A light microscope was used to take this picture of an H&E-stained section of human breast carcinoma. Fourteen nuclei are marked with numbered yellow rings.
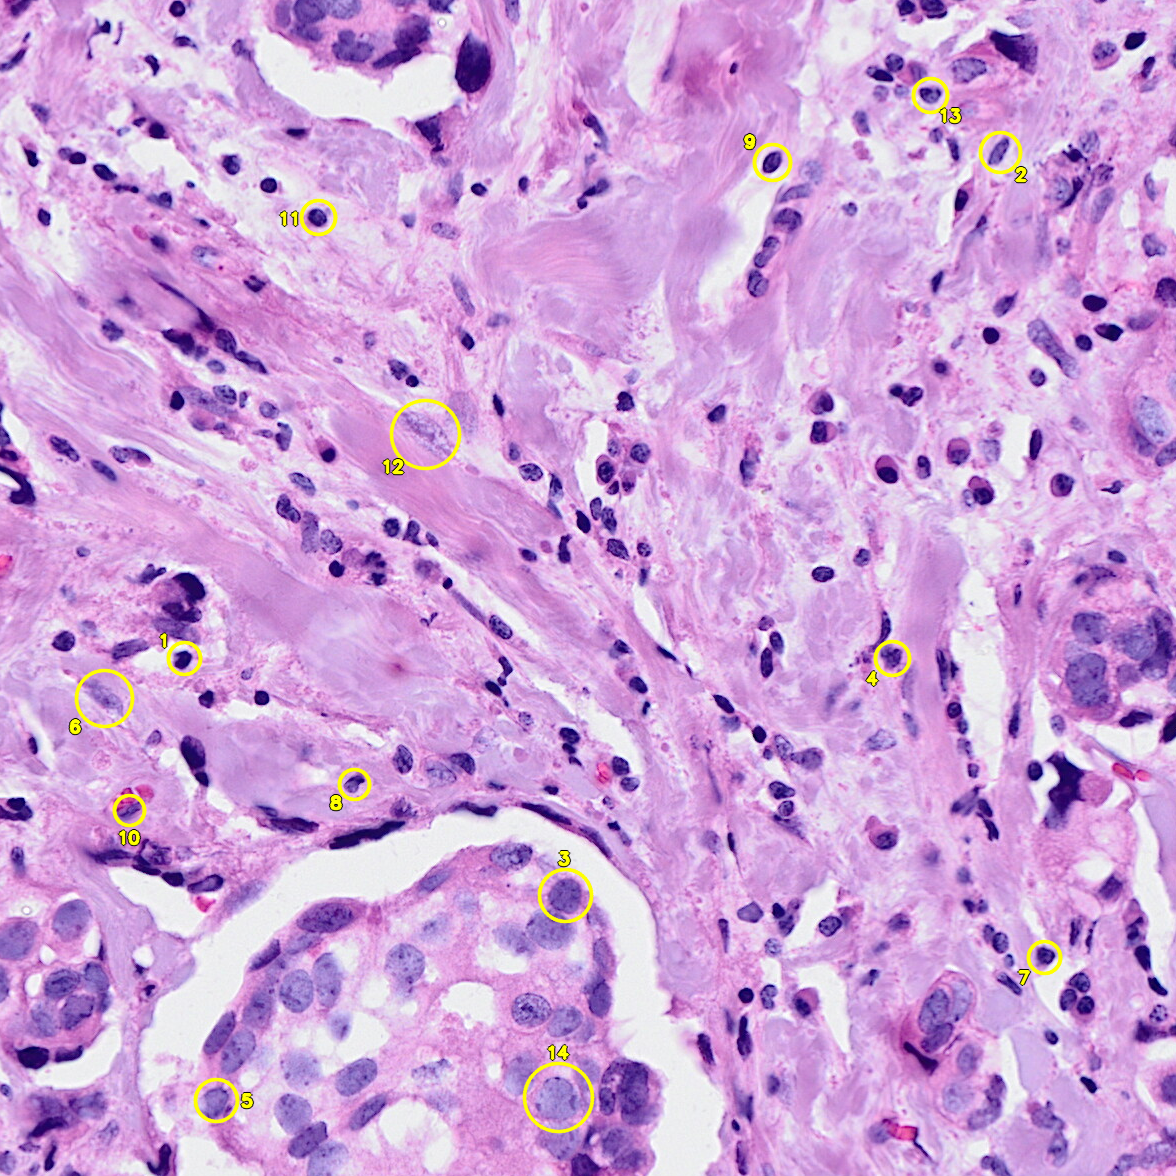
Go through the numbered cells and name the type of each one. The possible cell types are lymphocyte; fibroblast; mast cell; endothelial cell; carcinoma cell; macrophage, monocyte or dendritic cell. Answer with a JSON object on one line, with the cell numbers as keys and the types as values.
{"1": "lymphocyte", "2": "lymphocyte", "3": "carcinoma cell", "4": "lymphocyte", "5": "carcinoma cell", "6": "fibroblast", "7": "lymphocyte", "8": "lymphocyte", "9": "lymphocyte", "10": "endothelial cell", "11": "lymphocyte", "12": "fibroblast", "13": "lymphocyte", "14": "carcinoma cell"}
